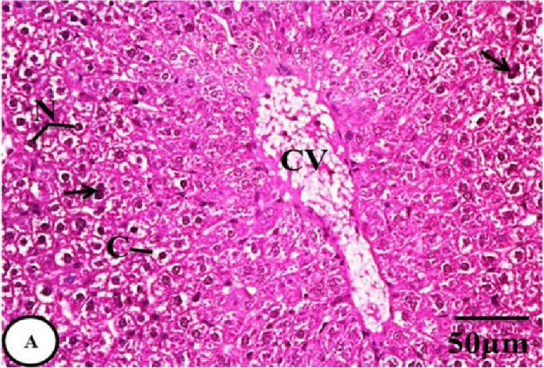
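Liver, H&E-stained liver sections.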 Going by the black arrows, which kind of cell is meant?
Binucleated cells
